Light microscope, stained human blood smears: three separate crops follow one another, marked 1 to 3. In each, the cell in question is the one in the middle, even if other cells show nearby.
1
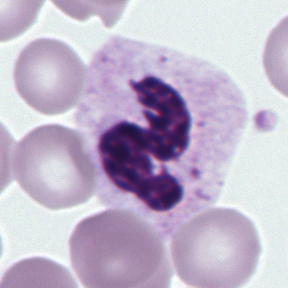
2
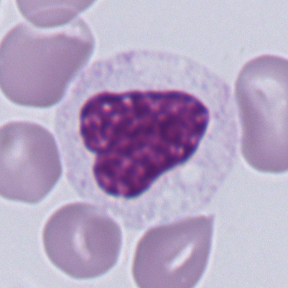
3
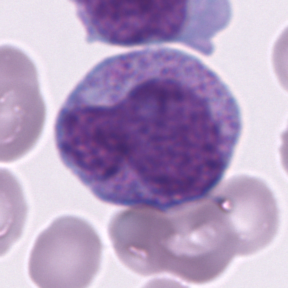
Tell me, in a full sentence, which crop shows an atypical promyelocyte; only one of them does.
Of all the crops, crop 3 is the one showing an atypical promyelocyte.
